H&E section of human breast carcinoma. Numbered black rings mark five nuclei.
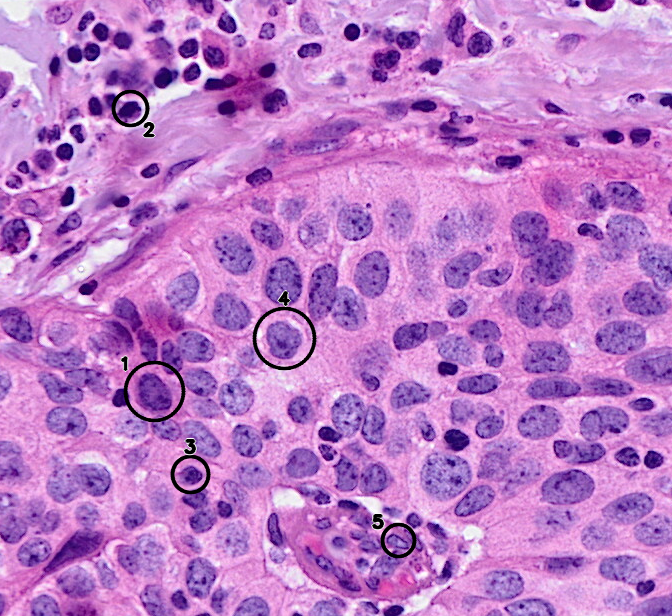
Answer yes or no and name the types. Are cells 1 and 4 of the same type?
Yes, along with cell 1, cell 4 is also among the carcinoma cells.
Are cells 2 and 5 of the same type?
No, that's off: cell 2 is a lymphocyte and cell 5 is an endothelial cell.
